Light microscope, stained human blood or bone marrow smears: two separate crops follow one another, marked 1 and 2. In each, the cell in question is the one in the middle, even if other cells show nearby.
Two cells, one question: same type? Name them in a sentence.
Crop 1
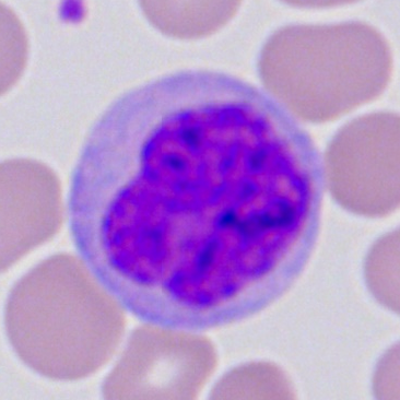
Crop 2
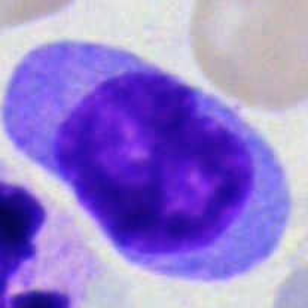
Yes, the central cells of both crops are monocytes.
